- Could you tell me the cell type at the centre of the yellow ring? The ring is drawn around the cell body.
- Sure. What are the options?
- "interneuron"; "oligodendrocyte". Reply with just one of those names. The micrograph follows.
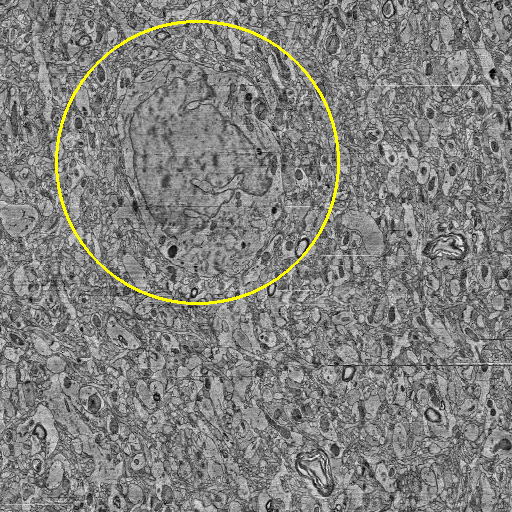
interneuron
